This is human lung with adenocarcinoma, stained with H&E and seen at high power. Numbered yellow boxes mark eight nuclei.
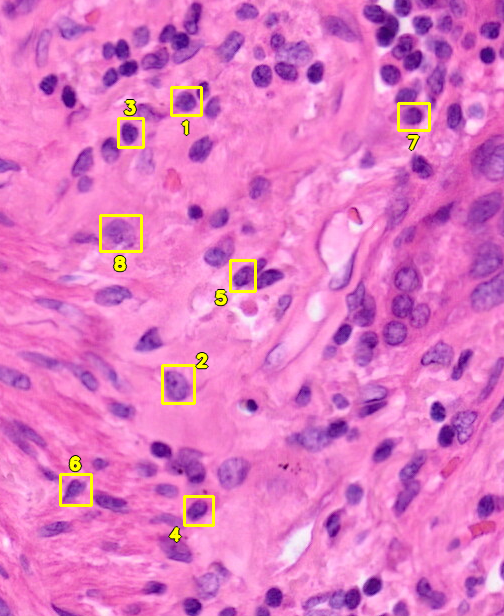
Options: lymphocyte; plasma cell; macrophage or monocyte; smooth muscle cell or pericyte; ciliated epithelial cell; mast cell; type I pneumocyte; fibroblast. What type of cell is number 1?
lymphocyte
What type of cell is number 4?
mast cell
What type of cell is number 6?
smooth muscle cell or pericyte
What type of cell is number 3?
lymphocyte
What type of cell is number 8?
fibroblast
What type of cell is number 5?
lymphocyte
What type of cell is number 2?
fibroblast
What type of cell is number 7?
lymphocyte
